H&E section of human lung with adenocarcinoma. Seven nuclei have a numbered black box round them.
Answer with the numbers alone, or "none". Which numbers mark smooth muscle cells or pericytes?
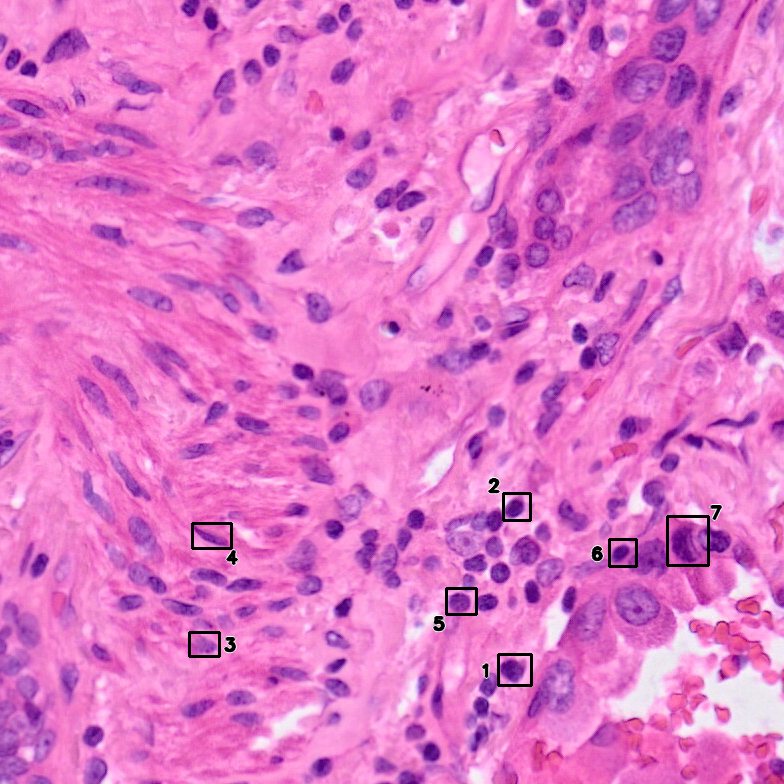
3, 4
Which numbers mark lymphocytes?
1, 2, 5, 6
